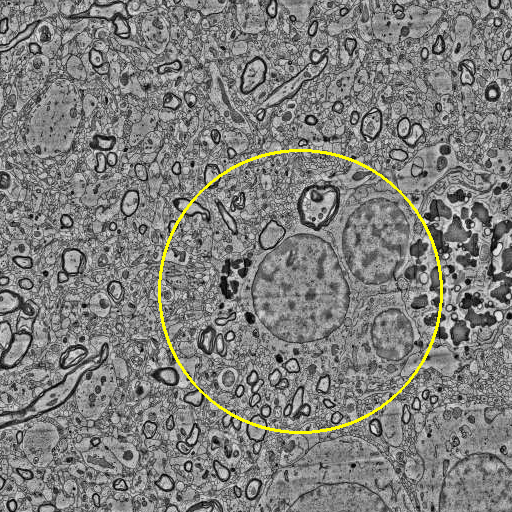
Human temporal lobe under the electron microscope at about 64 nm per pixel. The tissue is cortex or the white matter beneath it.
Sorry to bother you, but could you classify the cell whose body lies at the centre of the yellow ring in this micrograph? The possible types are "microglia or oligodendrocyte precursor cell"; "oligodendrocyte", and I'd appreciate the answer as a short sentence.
The ringed cell body is that of an oligodendrocyte.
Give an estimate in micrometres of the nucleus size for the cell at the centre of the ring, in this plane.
In this plane the nucleus measures roughly 7 micrometres across.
